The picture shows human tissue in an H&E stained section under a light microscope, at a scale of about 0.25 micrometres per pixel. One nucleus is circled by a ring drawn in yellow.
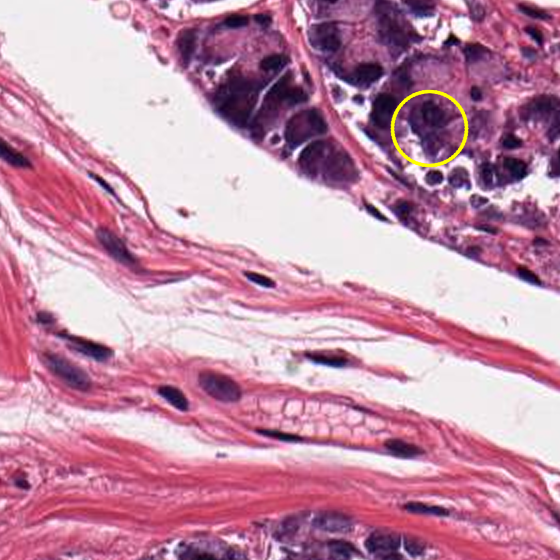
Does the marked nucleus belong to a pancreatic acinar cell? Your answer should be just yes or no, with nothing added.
yes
